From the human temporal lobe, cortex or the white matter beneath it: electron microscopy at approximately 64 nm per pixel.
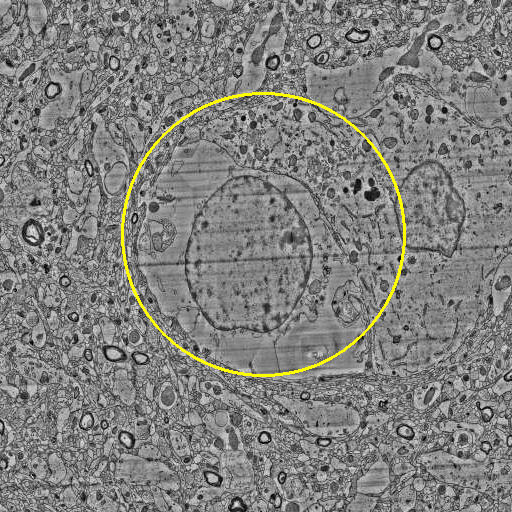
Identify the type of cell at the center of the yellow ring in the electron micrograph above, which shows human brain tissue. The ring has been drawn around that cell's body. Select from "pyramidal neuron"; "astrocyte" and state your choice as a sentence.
The yellow ring is centered on the body of an astrocyte.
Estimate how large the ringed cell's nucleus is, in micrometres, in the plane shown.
About 10 by 8 micrometers, in this plane.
